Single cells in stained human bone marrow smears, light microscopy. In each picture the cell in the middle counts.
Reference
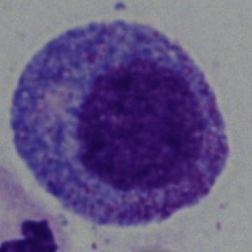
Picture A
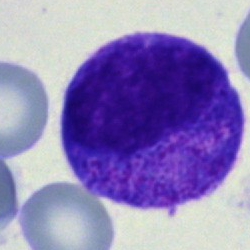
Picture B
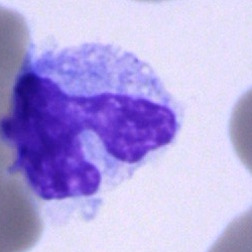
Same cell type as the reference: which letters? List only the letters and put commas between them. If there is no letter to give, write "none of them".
A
